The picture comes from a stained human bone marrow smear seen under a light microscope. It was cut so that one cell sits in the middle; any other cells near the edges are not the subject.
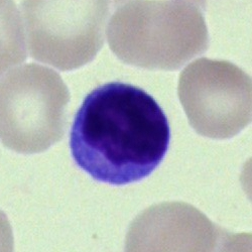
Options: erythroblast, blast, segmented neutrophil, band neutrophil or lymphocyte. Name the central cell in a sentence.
This crop's central cell is a lymphocyte.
